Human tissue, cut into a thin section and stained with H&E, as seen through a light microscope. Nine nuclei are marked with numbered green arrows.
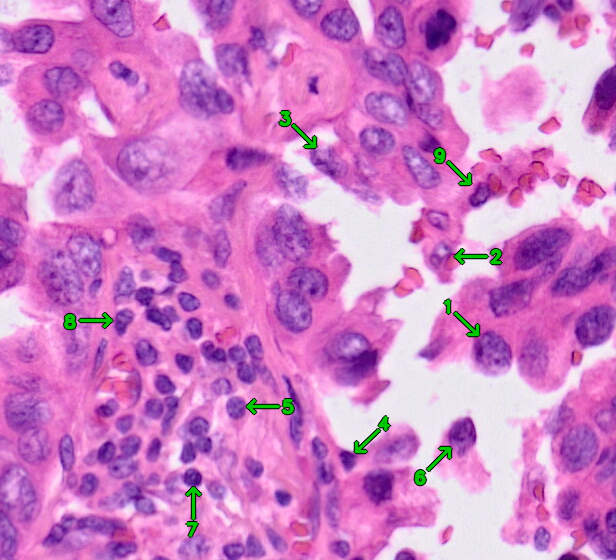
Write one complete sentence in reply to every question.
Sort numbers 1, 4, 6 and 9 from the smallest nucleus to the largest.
Smallest first, the nuclei run 4, 9, 6, 1.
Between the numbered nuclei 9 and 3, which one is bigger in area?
Of the two, number 3 is bigger and takes up about 2 times the area of number 9.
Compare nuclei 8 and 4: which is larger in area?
Nucleus 8 is larger, with an area about 1.5 times that of nucleus 4.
